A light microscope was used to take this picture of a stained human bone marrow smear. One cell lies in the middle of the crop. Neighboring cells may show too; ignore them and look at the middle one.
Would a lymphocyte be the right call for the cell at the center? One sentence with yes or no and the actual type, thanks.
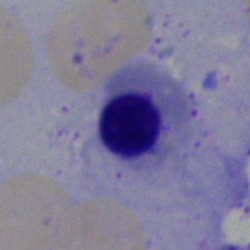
No, this is not a lymphocyte at all; the cell in the middle is an erythroblast.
